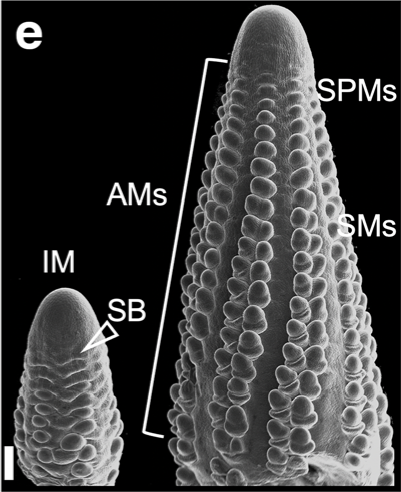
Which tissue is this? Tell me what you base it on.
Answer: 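Ear primordia. The larger structure is a single conical axis without long lateral outgrowths at its base. Its surface is covered with many rounded bumps in regular longitudinal rows. The tip is a smooth dome.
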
